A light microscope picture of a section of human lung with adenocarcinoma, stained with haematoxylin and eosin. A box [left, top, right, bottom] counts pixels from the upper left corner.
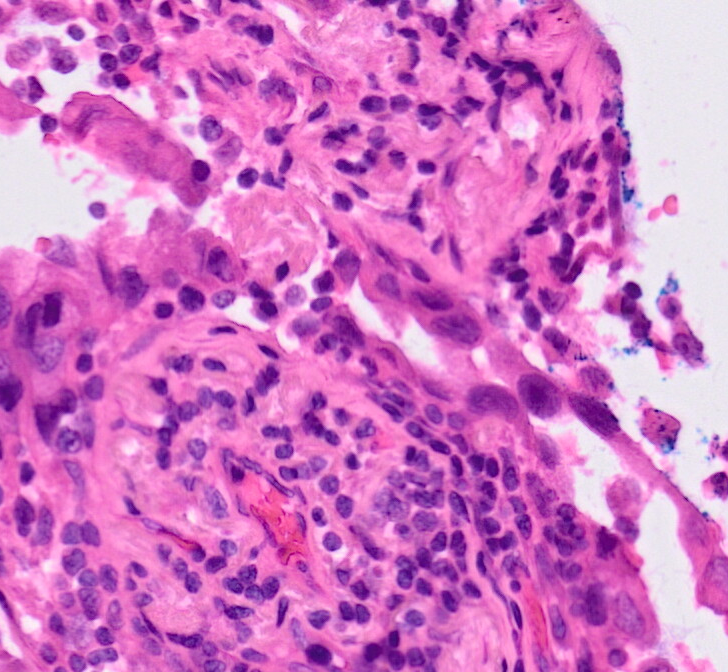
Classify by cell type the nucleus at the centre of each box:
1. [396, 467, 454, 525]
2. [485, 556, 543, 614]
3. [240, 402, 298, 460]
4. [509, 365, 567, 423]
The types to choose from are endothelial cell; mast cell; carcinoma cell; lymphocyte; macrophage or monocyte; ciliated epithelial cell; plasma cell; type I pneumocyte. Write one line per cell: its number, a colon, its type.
1: lymphocyte
2: lymphocyte
3: lymphocyte
4: carcinoma cell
